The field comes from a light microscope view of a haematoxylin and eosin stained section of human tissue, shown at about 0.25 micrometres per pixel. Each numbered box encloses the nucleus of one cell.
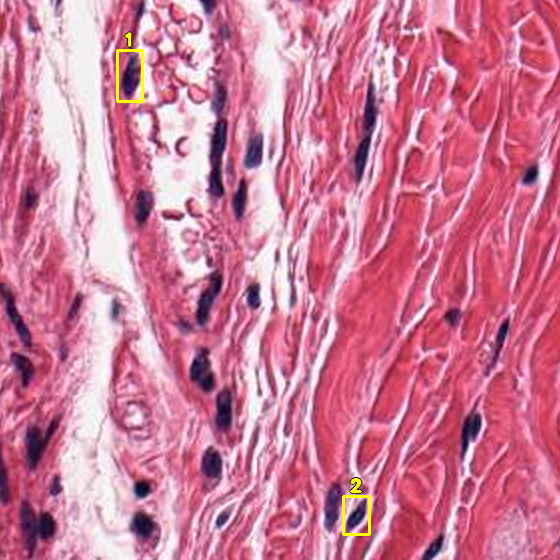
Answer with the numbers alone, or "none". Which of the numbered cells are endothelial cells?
1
